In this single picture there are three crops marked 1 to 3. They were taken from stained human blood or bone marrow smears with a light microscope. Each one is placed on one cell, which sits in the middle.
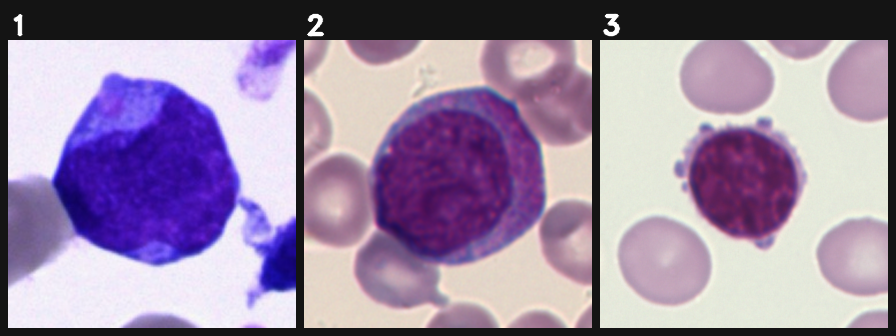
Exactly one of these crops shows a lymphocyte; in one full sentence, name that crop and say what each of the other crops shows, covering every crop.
Crop 3 is read as a lymphocyte, while crop 1 is a blast and crop 2 is a promyelocyte.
